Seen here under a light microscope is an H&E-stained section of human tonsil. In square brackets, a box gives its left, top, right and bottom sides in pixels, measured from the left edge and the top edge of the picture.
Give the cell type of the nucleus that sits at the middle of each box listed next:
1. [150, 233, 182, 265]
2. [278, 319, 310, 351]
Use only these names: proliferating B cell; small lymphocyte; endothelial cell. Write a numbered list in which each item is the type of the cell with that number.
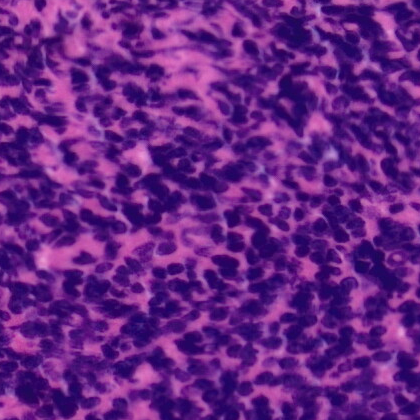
1. endothelial cell
2. small lymphocyte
